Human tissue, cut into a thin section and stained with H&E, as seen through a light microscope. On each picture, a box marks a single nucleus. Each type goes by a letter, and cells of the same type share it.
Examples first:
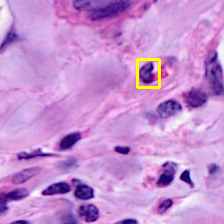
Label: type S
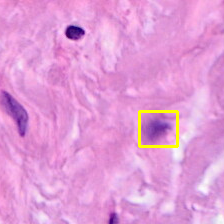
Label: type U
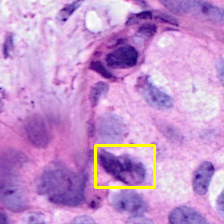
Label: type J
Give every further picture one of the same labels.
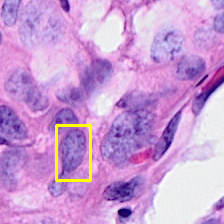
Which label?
type J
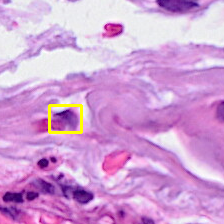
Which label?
type U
